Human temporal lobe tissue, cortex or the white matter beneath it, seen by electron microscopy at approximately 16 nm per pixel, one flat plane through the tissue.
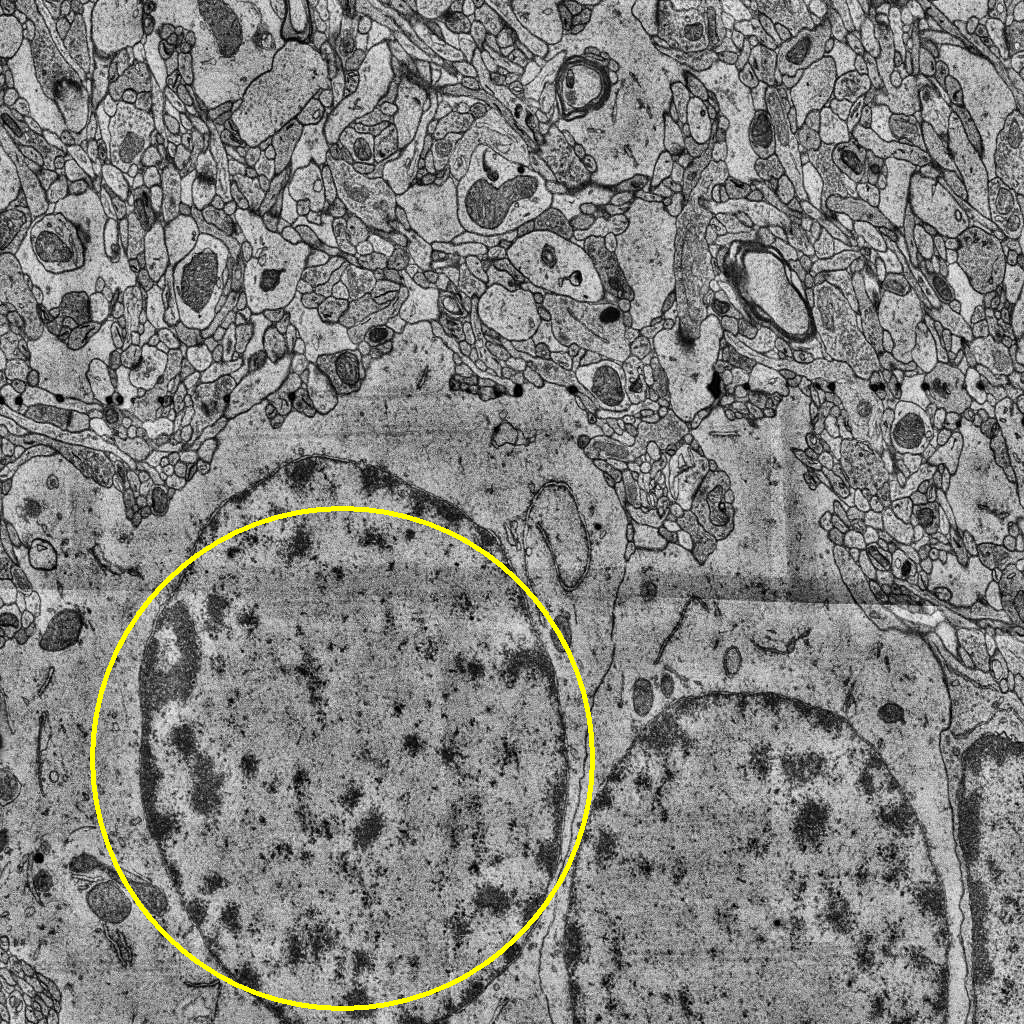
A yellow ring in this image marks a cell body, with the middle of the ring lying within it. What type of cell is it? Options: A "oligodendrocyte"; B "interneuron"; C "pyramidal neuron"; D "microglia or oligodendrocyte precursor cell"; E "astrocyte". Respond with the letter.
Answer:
E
